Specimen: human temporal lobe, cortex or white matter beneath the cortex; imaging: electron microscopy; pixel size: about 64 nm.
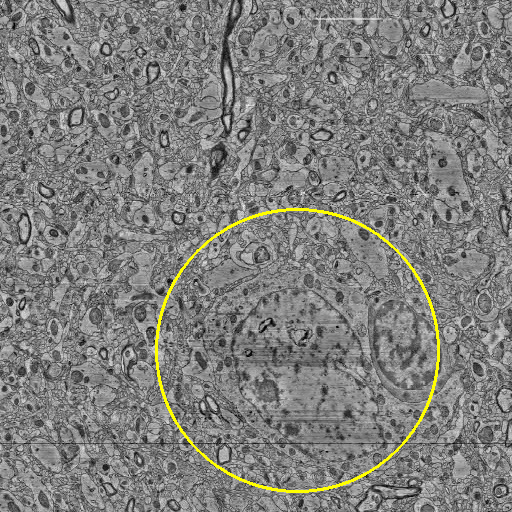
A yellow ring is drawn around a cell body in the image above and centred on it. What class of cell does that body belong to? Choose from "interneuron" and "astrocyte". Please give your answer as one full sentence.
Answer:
The yellow ring above is centred on the cell body of an interneuron.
